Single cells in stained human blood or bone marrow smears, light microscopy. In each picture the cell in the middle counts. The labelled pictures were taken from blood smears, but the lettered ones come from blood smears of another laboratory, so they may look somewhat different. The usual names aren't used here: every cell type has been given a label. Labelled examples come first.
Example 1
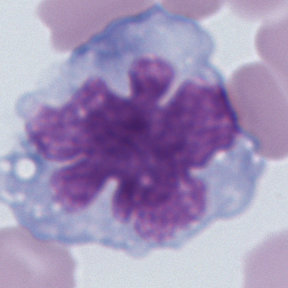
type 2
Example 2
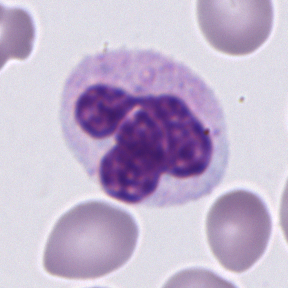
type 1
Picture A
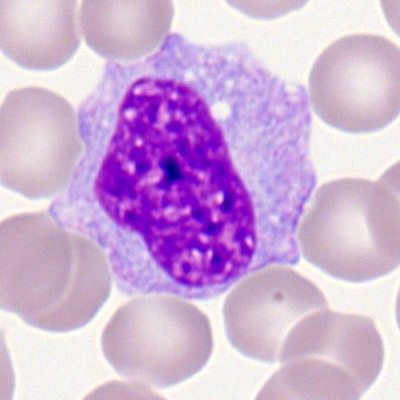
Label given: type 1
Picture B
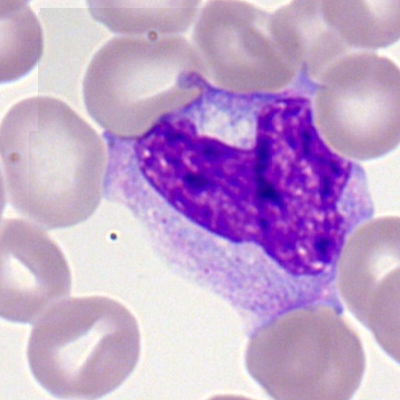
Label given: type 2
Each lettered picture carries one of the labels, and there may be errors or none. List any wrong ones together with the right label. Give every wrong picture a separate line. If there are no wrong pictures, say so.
A: change type 1 to type 2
